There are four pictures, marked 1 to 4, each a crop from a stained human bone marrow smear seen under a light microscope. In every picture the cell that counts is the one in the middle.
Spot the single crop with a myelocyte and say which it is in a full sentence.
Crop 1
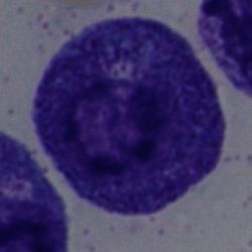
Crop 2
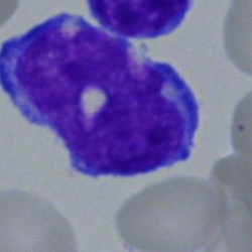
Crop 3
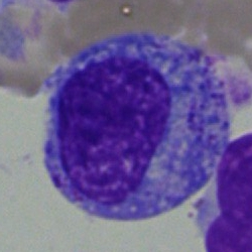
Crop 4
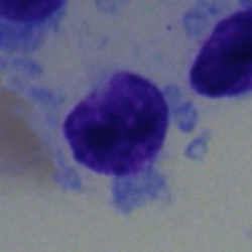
Crop 3 shows a myelocyte, and no other crop does.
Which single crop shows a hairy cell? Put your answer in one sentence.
The crop with a hairy cell at its center is crop 4.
